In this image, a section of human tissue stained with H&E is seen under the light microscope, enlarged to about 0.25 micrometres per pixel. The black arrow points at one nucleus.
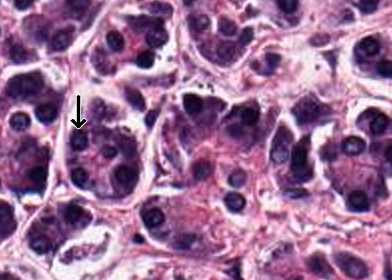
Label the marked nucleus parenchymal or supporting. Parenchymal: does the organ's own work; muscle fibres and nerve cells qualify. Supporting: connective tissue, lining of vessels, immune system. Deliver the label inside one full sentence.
Within a parenchymal cell, namely a pancreatic acinar cell, sits the marked nucleus.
